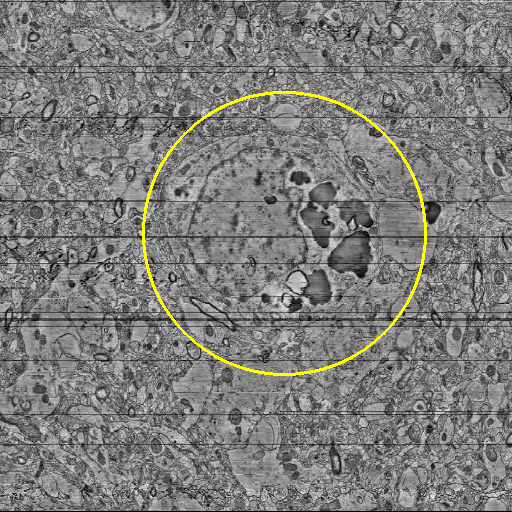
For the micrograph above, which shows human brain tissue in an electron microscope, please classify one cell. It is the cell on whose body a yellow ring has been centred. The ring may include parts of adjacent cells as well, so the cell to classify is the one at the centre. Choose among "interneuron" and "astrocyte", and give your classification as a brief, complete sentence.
I classify this cell as an interneuron.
